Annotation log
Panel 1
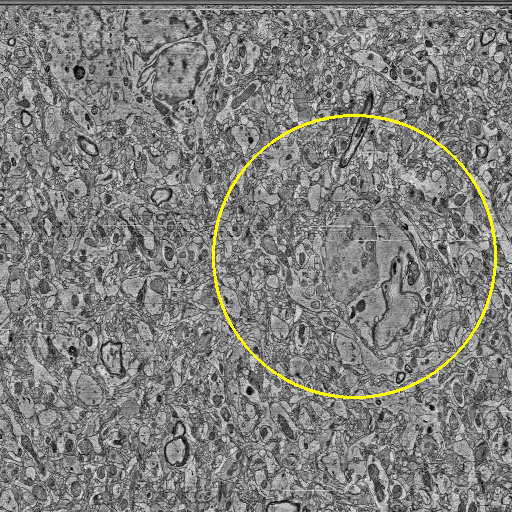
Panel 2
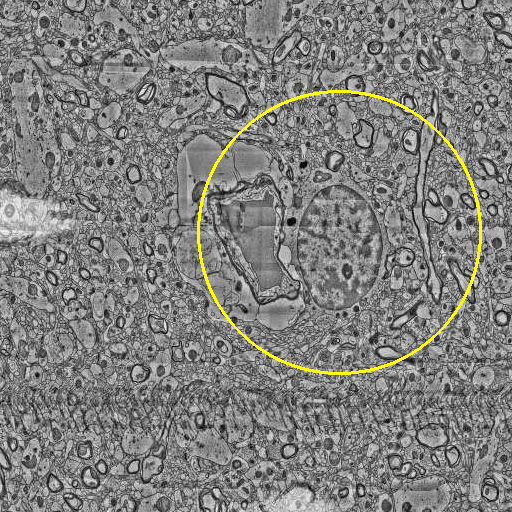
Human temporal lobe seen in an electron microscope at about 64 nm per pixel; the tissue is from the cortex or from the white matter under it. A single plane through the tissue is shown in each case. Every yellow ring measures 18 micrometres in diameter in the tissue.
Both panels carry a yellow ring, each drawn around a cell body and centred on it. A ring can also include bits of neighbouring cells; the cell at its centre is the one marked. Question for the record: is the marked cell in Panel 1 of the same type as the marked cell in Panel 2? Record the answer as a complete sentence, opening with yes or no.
Yes, the marked cells in Panel 1 and Panel 2 are of the same type.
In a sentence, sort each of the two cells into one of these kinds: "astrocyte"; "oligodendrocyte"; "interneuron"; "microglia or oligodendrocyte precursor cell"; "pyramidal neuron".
Both the first and the second picture show an oligodendrocyte in the ring.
